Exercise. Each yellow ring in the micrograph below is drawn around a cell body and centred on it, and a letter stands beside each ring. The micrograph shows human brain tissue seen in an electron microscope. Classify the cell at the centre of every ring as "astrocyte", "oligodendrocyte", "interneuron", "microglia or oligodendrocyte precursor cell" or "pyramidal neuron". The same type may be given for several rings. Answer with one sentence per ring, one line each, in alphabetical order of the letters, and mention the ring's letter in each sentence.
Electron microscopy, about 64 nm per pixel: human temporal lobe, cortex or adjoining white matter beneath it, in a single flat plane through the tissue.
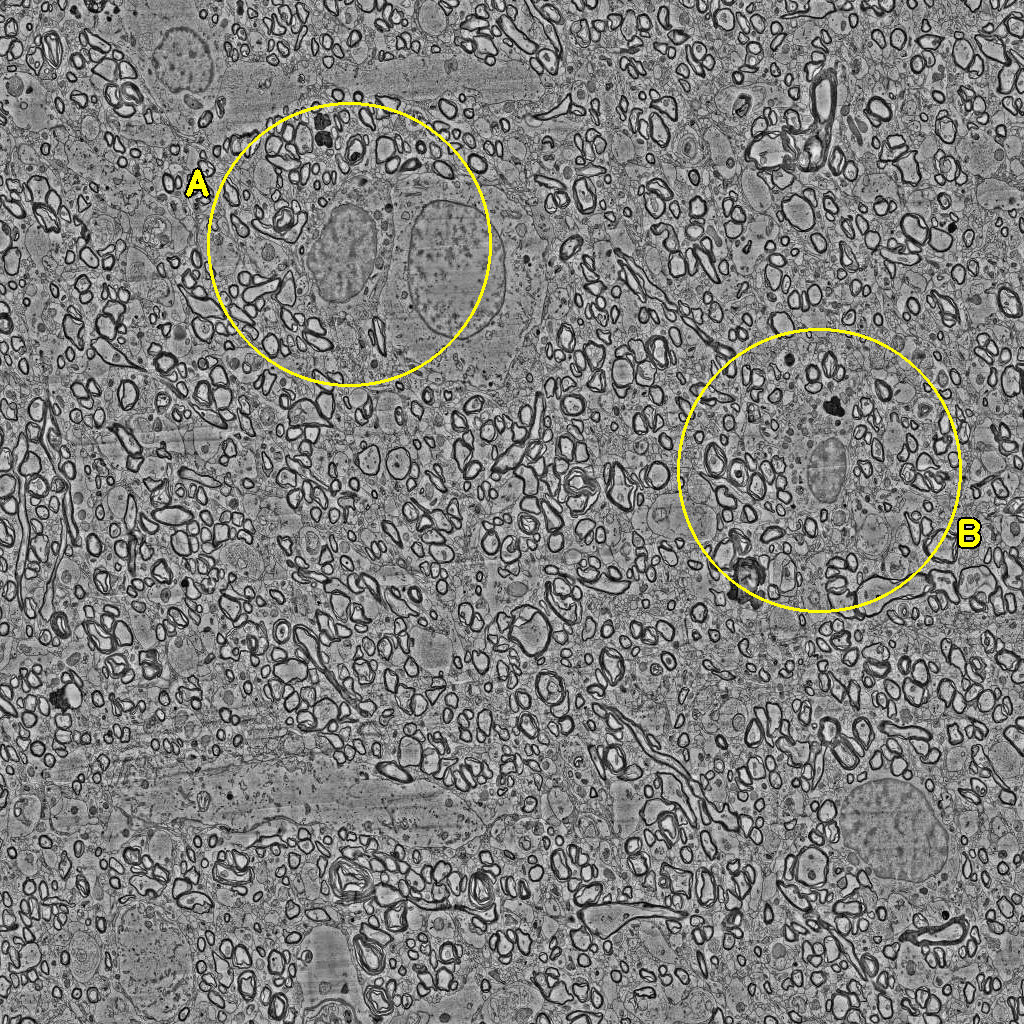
In ring A, the central cell is an oligodendrocyte.
In ring B, the central cell is an oligodendrocyte.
